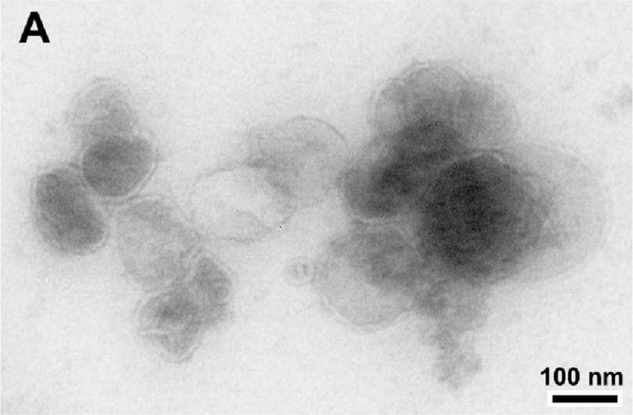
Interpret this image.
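Negatively stained nanovesicles lie in loose clusters on a pale grey background. The vesicles vary in size, from tiny ones of a few tens of nanometres to larger ones of roughly 150 to 200 nanometres, and many overlap so that stacked vesicles appear darker. A few vesicles look paler and partly collapsed.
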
